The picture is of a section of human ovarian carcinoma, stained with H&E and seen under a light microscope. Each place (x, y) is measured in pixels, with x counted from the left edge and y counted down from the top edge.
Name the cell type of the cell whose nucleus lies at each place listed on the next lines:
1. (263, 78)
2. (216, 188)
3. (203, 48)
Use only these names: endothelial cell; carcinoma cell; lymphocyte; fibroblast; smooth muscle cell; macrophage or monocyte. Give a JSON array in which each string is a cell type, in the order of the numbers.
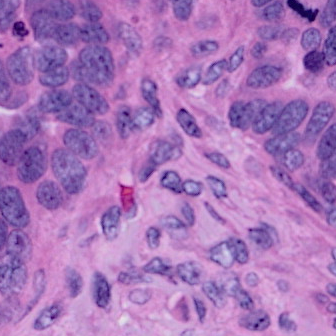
["carcinoma cell", "fibroblast", "fibroblast"]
